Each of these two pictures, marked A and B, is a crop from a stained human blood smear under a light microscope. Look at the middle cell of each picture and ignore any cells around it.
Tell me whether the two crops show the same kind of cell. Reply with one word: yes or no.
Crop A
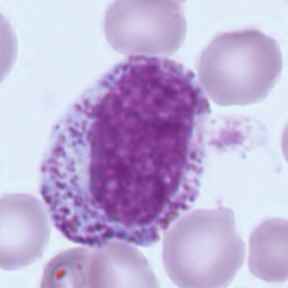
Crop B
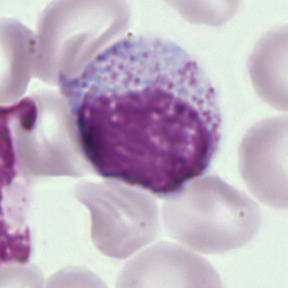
no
